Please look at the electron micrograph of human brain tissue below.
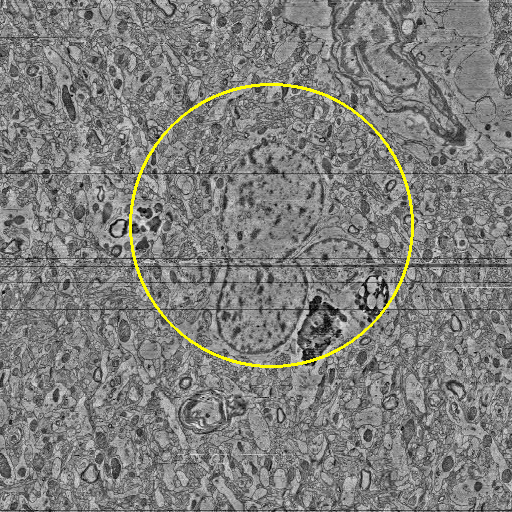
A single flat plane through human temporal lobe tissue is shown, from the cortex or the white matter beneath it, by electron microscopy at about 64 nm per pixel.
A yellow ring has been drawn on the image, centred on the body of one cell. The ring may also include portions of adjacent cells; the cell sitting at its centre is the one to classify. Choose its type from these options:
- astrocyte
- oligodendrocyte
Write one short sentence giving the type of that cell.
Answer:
The cell in the middle of the ring is an astrocyte.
